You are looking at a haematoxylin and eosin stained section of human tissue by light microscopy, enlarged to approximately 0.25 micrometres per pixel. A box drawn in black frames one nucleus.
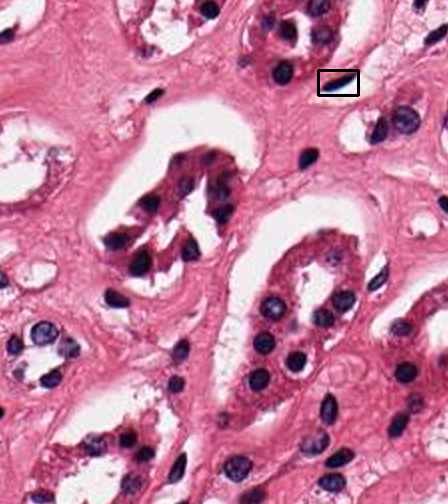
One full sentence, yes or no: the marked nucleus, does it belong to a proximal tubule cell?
No, the marked nucleus is located in a supporting cell and not in a proximal tubule cell.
